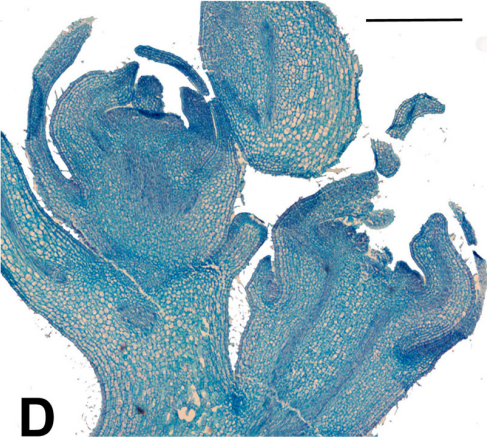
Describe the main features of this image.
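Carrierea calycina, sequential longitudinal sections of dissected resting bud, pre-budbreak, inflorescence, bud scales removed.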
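Rounded floral primordia consist of small, tightly packed cells with dense, deep-blue contents, while the tissue of the supporting axis below is made of larger, paler, more vacuolated cells arranged in rows. Thin, curved organs wrap over and around the rounded primordia, their tips bending inward. Strands of narrow, elongated cells run up through the axis toward the primordia. The smallest cells lie at the surface and tips of the developing organs, where the staining is most intense.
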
